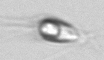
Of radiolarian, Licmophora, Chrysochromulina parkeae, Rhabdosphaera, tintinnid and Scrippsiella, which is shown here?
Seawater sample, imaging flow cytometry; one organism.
Chrysochromulina parkeae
